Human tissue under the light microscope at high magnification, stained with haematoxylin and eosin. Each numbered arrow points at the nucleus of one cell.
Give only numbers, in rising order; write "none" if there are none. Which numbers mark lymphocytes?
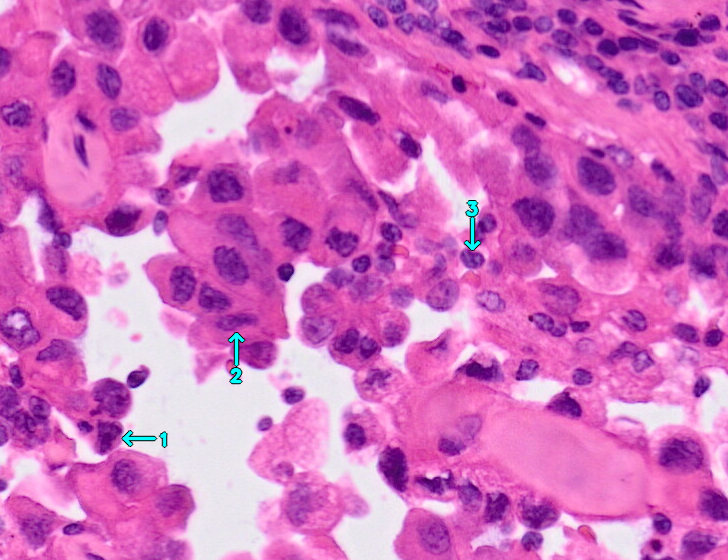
3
